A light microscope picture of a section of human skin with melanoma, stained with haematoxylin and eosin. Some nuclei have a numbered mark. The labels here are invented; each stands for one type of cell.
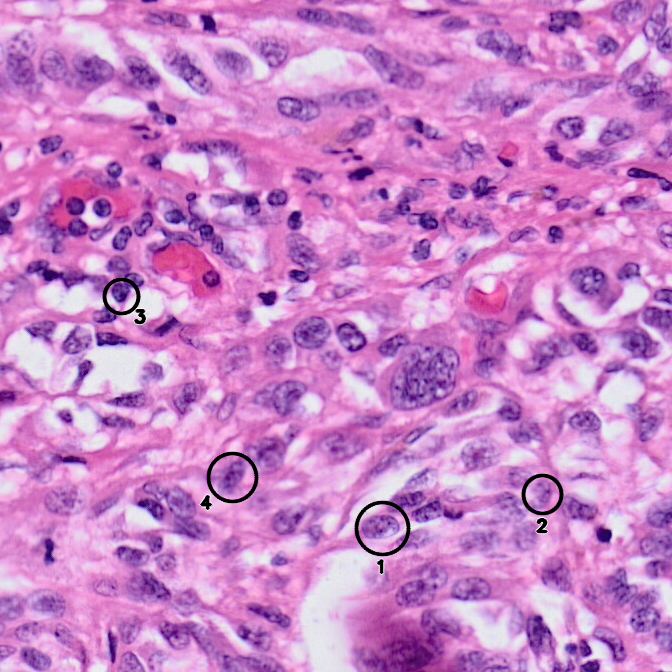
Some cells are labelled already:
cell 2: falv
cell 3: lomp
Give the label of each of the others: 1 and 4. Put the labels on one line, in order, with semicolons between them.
falv; falv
